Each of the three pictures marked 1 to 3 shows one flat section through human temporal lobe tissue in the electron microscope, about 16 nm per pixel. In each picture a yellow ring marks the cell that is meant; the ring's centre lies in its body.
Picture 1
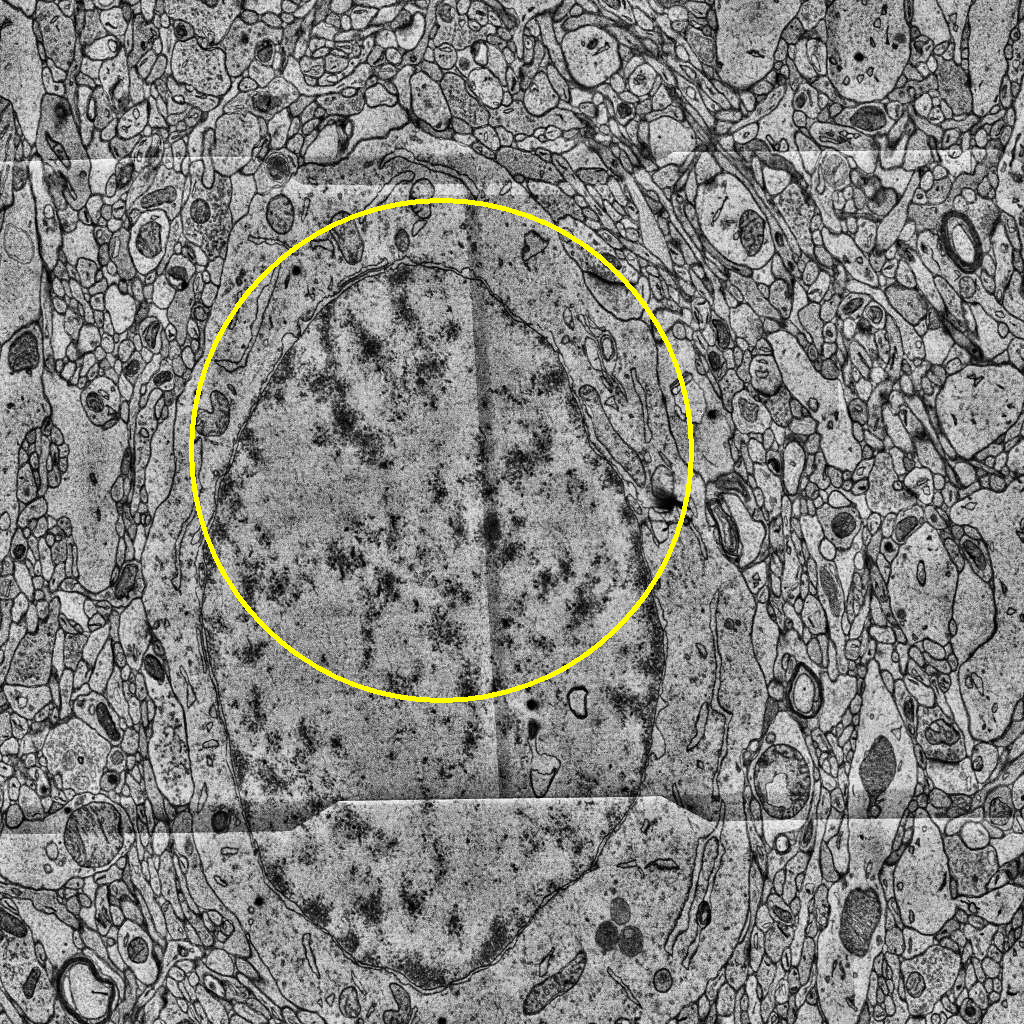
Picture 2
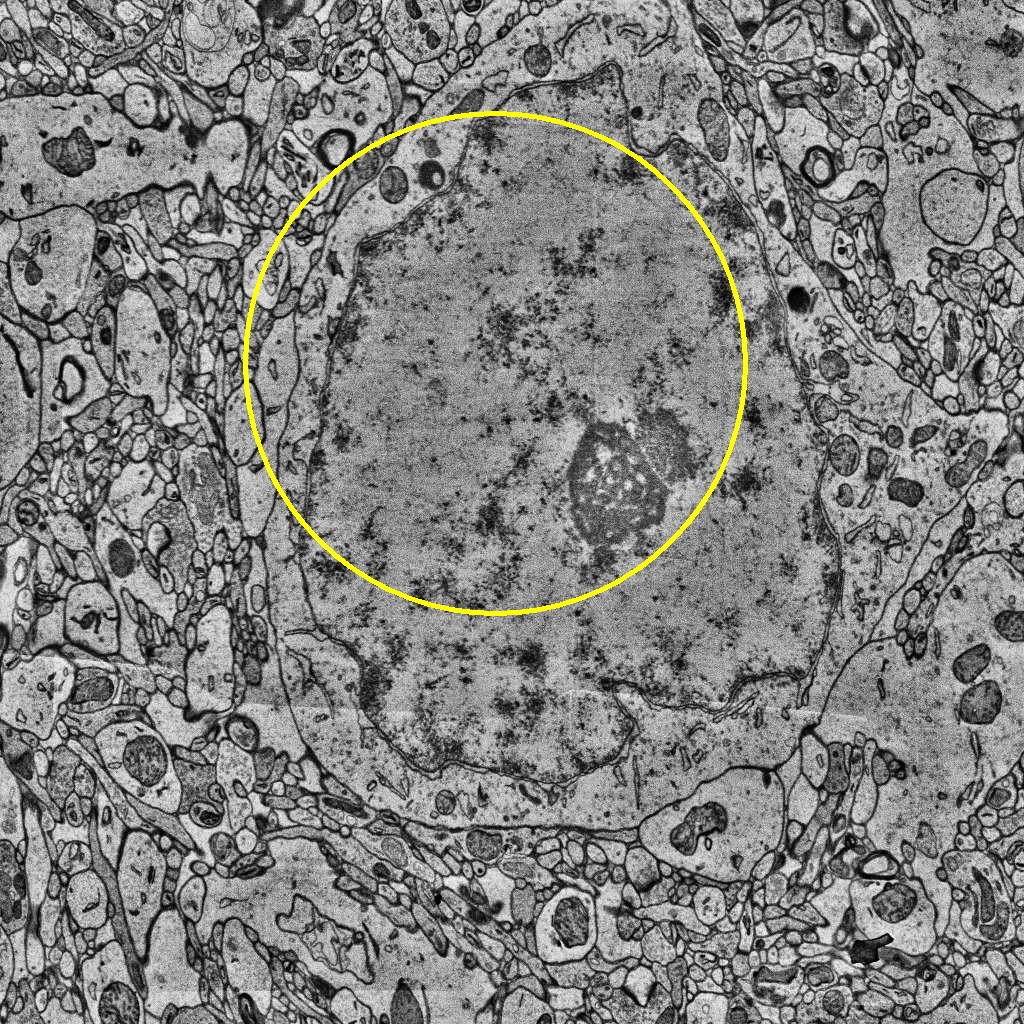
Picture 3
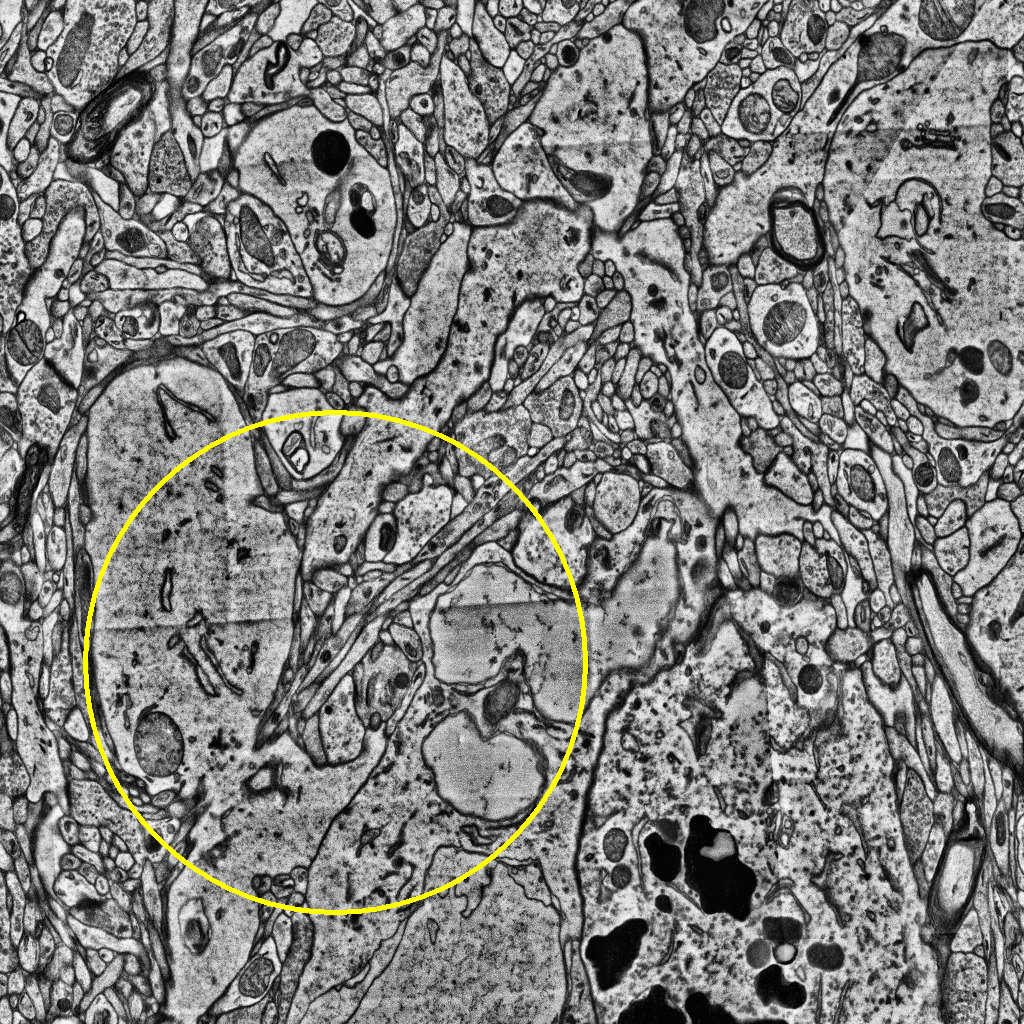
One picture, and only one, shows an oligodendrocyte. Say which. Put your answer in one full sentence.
The oligodendrocyte is the one in picture 3.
